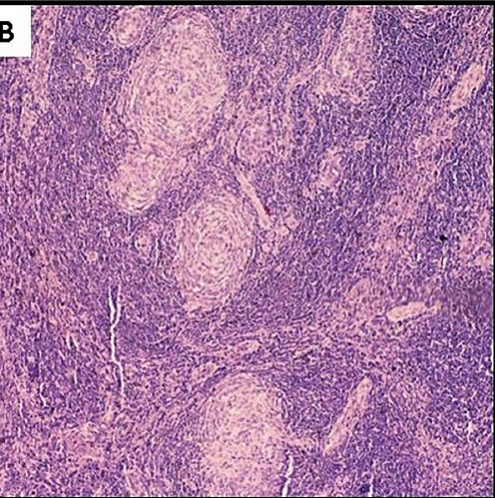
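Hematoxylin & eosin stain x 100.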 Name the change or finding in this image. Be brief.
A: Concentric lymphocytic proliferation in an onionskin-like pattern.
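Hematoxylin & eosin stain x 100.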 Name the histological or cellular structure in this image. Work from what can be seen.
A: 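Several rounded pale pink nodules stand out against a dense sheet of dark blue small cells. On this evidence: Regressive, atrophic and hyalinized lymphoid follicles.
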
